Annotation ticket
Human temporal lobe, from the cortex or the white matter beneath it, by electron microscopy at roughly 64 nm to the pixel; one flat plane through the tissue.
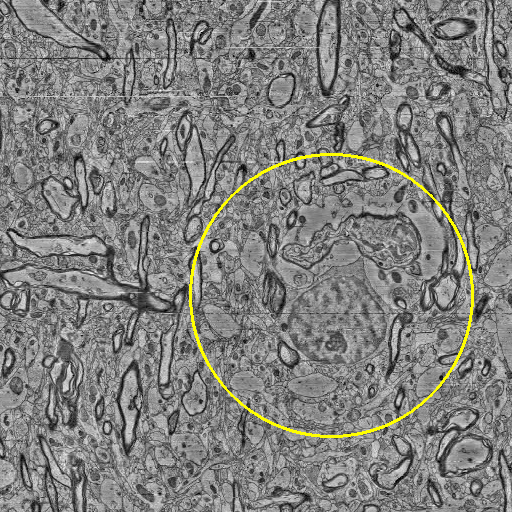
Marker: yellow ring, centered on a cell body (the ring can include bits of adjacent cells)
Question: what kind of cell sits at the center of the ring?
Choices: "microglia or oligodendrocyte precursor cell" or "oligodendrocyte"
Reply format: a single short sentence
The ring is centered on an oligodendrocyte.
